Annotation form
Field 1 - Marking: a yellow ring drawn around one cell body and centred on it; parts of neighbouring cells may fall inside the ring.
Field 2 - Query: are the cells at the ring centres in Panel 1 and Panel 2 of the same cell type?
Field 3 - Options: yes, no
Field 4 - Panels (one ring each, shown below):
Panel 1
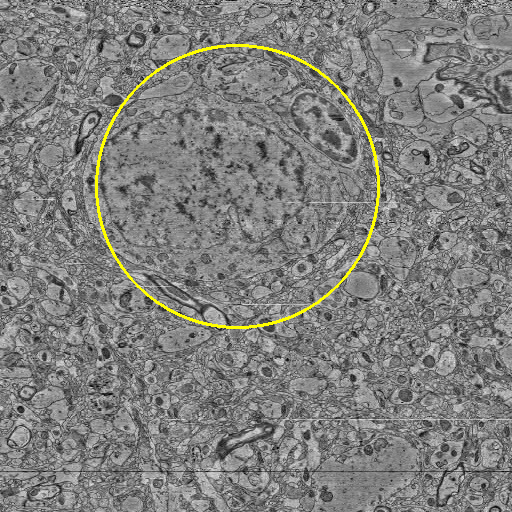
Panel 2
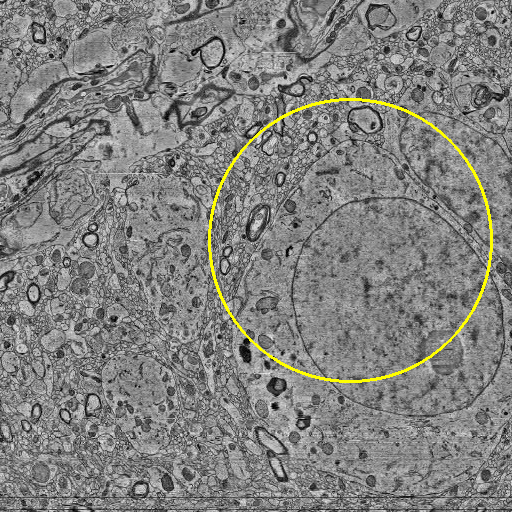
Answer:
no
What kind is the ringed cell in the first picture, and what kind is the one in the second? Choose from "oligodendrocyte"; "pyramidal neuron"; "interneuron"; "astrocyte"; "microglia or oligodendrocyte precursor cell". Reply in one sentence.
The first cell is an interneuron; the second is a pyramidal neuron.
